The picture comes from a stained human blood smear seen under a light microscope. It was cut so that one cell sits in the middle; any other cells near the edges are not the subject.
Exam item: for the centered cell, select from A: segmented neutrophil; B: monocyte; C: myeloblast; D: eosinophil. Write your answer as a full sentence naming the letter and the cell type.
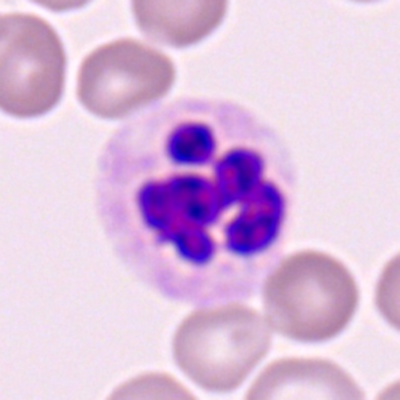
Option A is the correct option, with the middle cell being a segmented neutrophil.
